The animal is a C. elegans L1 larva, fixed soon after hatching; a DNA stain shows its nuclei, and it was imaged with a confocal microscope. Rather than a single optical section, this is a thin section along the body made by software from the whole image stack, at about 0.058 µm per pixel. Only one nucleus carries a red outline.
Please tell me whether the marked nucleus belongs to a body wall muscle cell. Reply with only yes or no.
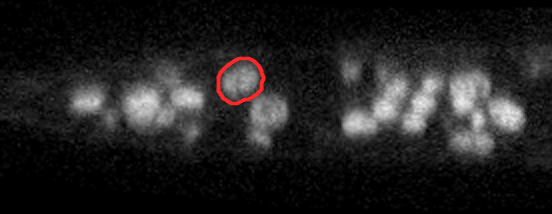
yes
